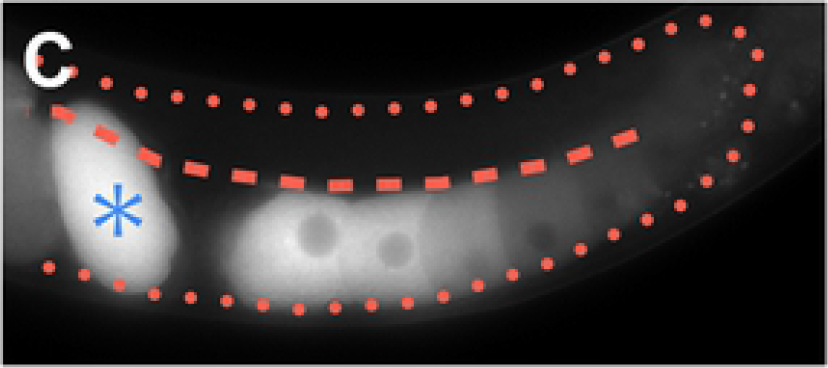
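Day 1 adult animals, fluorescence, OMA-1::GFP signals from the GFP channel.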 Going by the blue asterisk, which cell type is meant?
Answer: Fertilized egg.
